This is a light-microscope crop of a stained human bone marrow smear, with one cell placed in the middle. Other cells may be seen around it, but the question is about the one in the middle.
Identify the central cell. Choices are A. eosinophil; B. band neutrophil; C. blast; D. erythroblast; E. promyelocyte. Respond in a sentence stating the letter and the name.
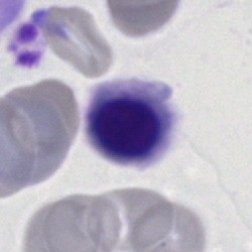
With the cell in the middle being an erythroblast, option D is the correct choice.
